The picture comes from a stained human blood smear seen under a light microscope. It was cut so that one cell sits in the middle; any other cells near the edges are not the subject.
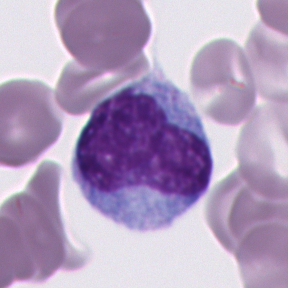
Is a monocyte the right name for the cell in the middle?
yes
